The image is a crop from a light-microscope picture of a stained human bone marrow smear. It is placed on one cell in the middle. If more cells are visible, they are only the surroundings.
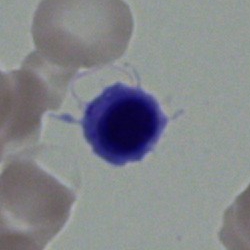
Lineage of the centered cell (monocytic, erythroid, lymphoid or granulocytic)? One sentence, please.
By lineage, the cell in the middle of the crop is erythroid.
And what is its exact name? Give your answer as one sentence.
Answering briefly, the cell in the middle is an erythroblast.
